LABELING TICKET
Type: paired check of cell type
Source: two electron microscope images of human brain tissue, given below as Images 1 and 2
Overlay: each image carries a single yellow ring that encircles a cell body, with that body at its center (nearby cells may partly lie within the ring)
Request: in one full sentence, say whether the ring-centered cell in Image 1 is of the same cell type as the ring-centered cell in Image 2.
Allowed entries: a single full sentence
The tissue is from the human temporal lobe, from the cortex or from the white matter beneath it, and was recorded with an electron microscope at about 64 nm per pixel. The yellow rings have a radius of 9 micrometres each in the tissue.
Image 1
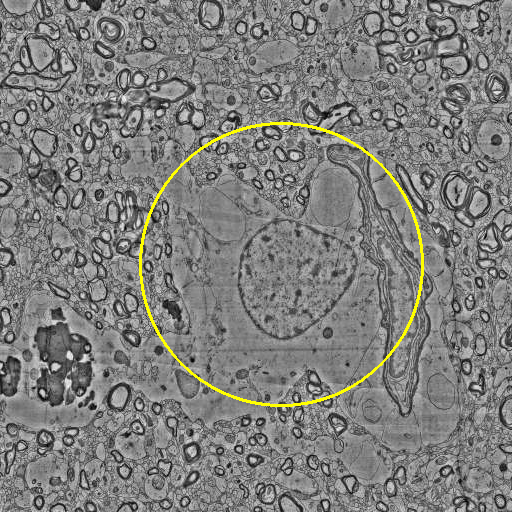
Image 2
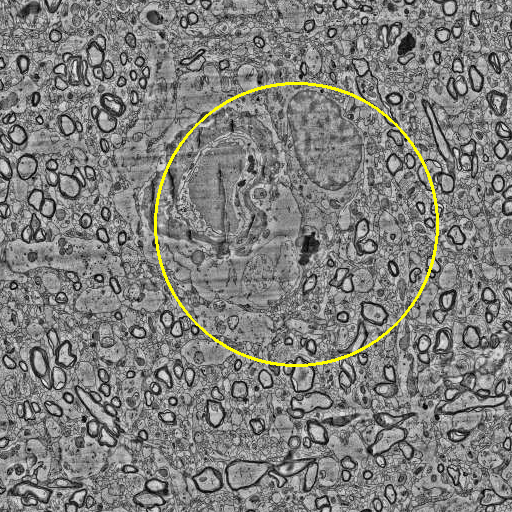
No, the cells centered in the rings of Image 1 and Image 2 are of two types.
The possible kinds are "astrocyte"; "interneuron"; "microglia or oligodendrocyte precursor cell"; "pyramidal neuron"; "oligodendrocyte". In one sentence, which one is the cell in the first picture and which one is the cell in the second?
The cell ringed in the second picture is an oligodendrocyte, whereas the one ringed in the first is an astrocyte.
